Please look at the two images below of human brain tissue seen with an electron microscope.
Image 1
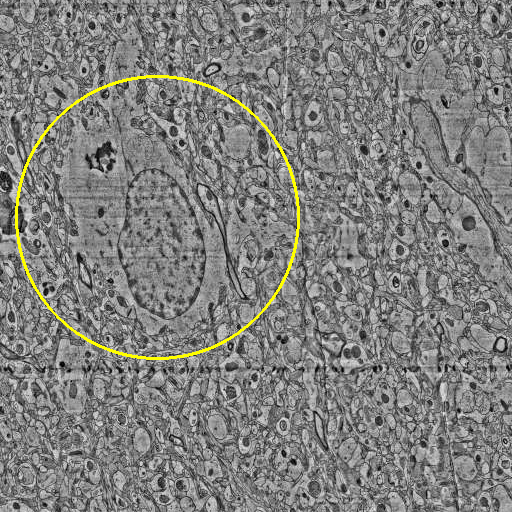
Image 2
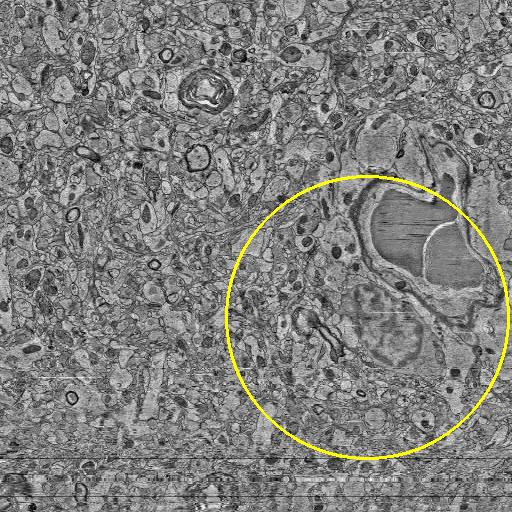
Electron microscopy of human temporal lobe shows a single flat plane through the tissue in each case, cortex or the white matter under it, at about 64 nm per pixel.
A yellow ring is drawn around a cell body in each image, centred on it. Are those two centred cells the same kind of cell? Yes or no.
no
